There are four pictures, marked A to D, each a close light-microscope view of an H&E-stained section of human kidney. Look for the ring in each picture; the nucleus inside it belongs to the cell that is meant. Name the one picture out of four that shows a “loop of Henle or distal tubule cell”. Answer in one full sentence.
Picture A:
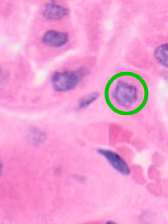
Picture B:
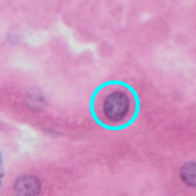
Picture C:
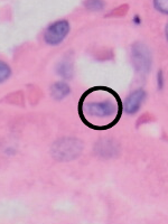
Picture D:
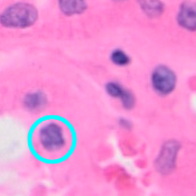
The cell in picture D is the “loop of Henle or distal tubule cell”.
